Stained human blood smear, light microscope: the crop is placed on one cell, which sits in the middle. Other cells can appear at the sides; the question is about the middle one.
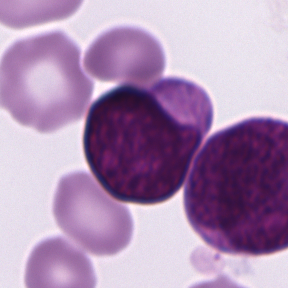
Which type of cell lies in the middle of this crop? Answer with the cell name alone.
myeloblast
